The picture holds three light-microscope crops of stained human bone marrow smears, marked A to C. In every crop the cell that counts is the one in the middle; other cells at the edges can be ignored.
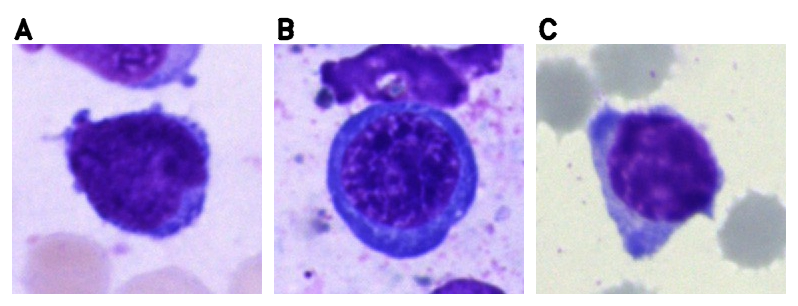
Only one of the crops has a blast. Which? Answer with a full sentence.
The crop marked A is the one in which a blast is shown.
